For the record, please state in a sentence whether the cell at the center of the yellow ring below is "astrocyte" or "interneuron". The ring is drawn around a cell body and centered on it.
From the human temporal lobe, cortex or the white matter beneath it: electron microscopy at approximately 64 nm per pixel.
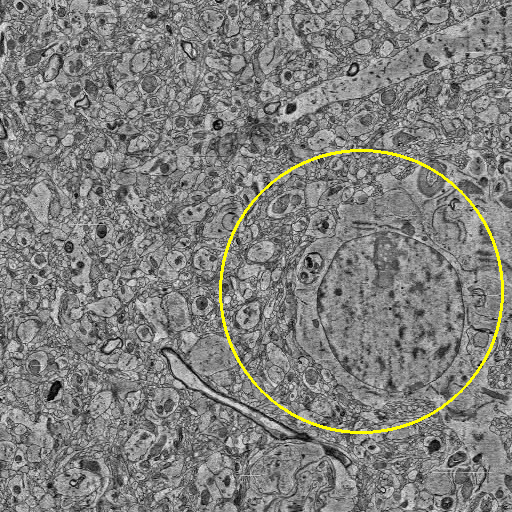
The cell at the ring's center is an astrocyte.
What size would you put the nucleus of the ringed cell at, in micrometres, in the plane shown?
Roughly 10 micrometers across, in this plane.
